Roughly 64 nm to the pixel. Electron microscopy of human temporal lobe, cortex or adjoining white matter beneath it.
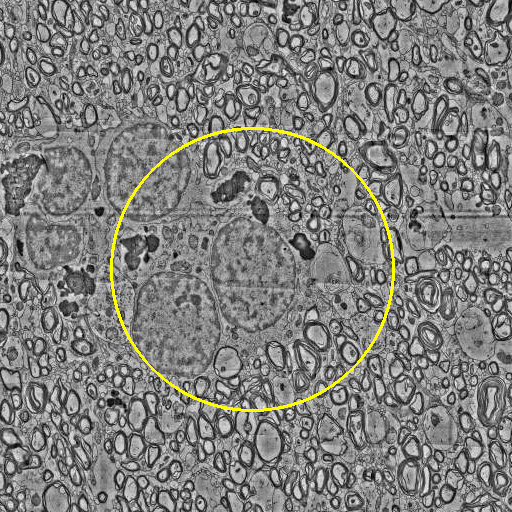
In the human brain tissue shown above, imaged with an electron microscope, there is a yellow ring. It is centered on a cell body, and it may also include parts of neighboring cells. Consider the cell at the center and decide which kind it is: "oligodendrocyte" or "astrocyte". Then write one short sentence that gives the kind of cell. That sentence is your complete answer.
This centered cell body is that of an oligodendrocyte.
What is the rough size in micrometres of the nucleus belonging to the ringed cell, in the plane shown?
About 8 micrometres by about 5 micrometres in this plane.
